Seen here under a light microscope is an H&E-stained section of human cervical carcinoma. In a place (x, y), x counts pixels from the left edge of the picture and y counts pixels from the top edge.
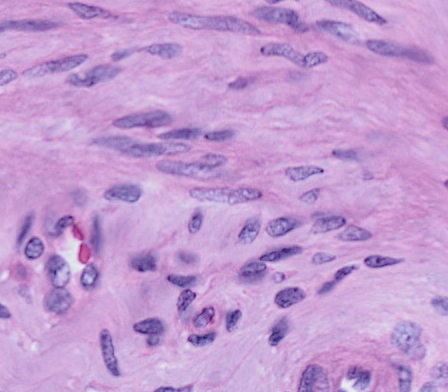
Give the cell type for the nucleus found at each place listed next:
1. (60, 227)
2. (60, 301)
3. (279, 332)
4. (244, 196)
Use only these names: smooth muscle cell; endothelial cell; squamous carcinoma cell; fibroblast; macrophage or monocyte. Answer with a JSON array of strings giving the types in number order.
["endothelial cell", "endothelial cell", "fibroblast", "smooth muscle cell"]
